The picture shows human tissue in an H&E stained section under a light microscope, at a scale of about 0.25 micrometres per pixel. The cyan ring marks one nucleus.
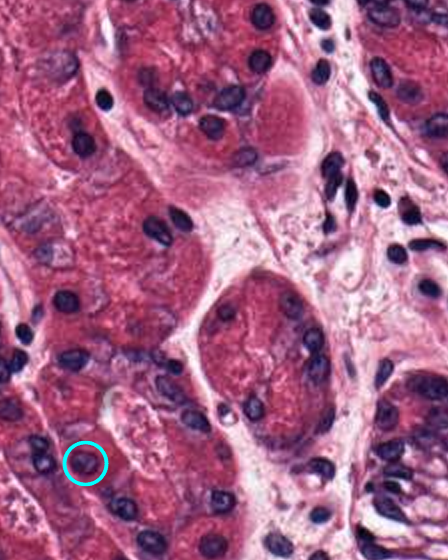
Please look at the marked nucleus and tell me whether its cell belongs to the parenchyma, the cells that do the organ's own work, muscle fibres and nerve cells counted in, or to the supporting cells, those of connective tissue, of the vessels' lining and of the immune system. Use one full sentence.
The marked nucleus is housed in a parenchymal cell, namely a parietal cell.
